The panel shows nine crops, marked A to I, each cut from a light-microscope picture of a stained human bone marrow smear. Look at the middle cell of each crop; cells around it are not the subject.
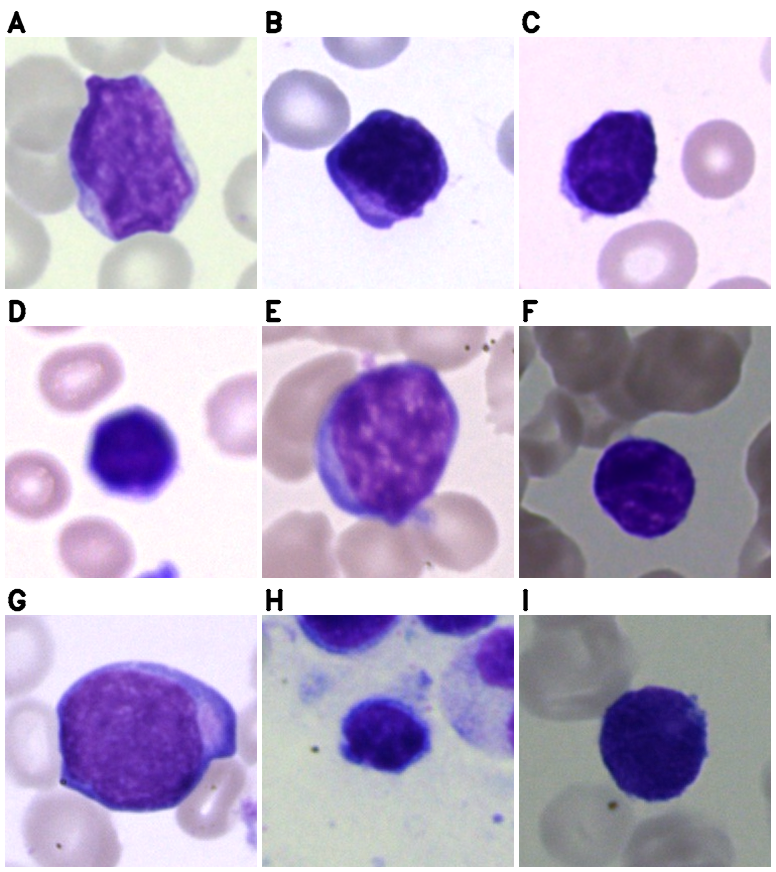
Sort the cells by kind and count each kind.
blast: 5
lymphocyte: 4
